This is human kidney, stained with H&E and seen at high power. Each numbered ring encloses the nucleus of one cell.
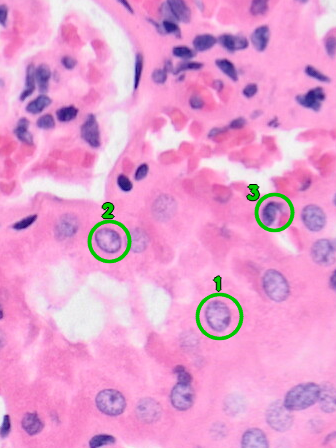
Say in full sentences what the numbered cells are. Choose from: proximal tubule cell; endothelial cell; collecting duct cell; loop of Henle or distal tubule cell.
Cell 1 is a proximal tubule cell, cell 2 is a proximal tubule cell and cell 3 is an endothelial cell.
